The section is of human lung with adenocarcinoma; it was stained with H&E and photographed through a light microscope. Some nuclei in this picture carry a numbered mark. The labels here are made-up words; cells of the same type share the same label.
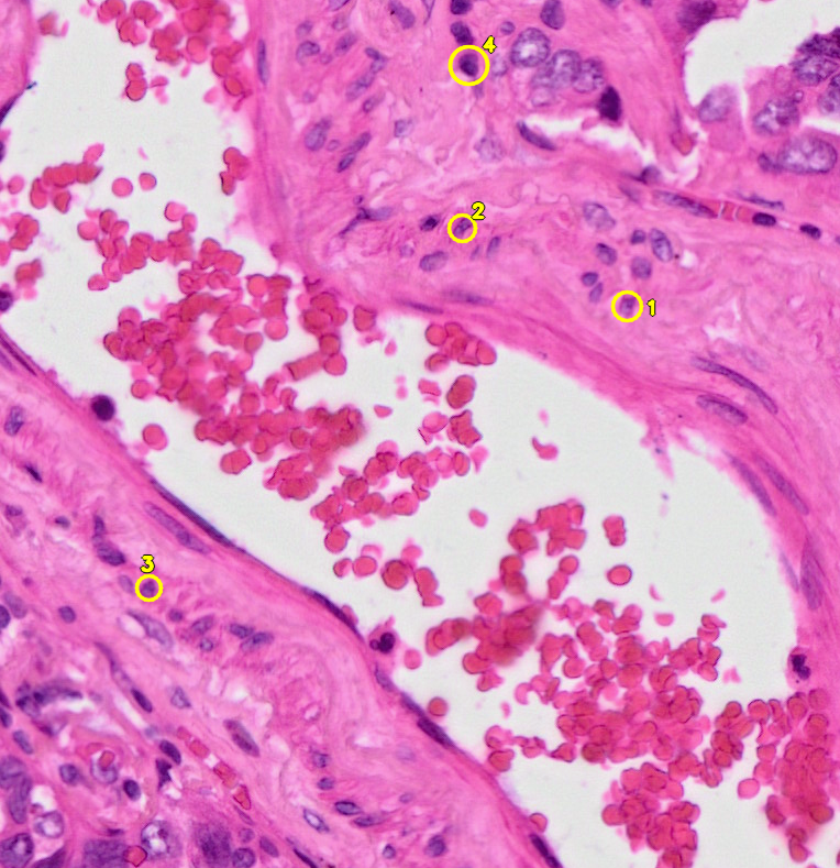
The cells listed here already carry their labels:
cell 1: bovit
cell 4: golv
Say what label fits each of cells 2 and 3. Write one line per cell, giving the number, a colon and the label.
2: bovit
3: bovit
